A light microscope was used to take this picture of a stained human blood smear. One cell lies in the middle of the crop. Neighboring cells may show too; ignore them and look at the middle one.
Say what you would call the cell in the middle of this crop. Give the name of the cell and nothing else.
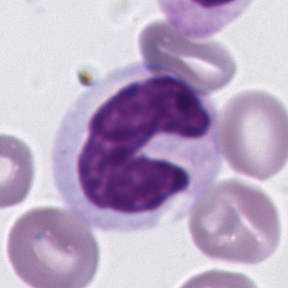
band neutrophil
